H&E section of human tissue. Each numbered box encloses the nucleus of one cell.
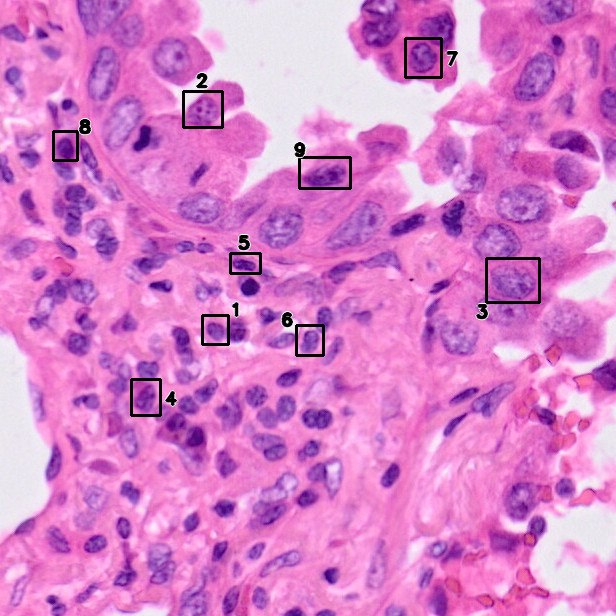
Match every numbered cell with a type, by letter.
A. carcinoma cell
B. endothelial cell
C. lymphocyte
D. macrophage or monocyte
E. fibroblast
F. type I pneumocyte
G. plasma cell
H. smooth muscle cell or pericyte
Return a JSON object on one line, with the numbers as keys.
{"1": "C", "2": "A", "3": "A", "4": "G", "5": "C", "6": "C", "7": "A", "8": "G", "9": "A"}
